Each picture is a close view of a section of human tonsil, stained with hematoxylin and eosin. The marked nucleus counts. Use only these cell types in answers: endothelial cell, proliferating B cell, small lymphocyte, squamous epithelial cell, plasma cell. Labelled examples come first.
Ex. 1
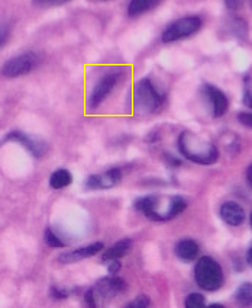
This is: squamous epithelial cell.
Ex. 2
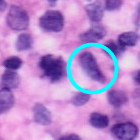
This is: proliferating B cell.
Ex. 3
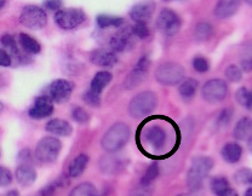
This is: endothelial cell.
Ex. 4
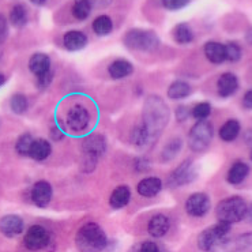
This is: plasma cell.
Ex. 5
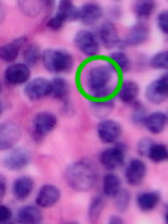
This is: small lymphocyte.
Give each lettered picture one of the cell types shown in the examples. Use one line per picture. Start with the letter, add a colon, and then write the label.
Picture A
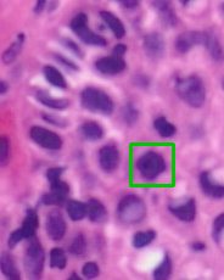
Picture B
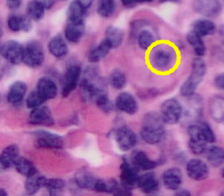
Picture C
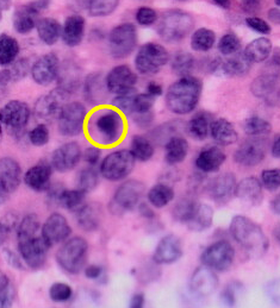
A: squamous epithelial cell.
B: endothelial cell.
C: proliferating B cell.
